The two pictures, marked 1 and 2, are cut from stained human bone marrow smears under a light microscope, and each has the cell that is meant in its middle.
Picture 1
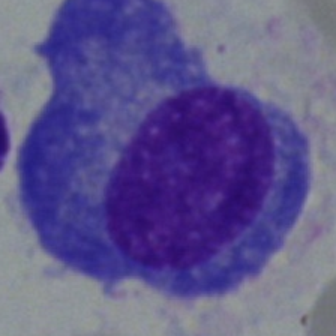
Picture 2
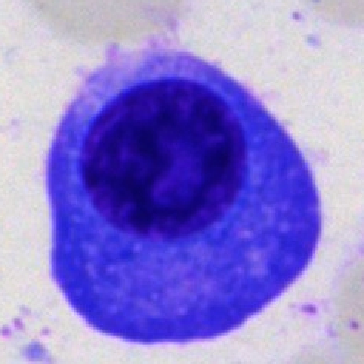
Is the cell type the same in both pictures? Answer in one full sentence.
Yes, both cells are plasma cells.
